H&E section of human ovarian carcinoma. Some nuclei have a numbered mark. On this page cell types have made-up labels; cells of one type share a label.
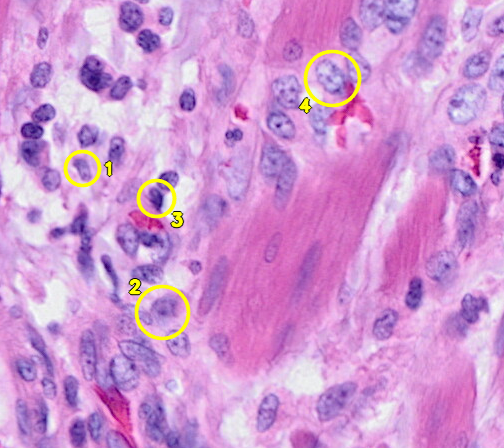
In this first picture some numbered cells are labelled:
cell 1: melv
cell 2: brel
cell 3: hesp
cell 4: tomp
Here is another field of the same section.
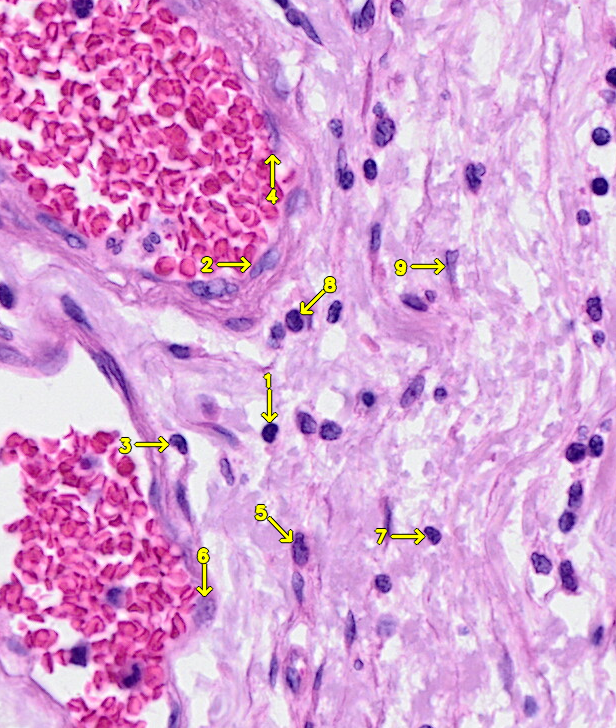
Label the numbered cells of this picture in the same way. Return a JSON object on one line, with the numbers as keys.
{"1": "hesp", "2": "tomp", "3": "hesp", "4": "tomp", "5": "melv", "6": "tomp", "7": "hesp", "8": "hesp", "9": "brel"}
